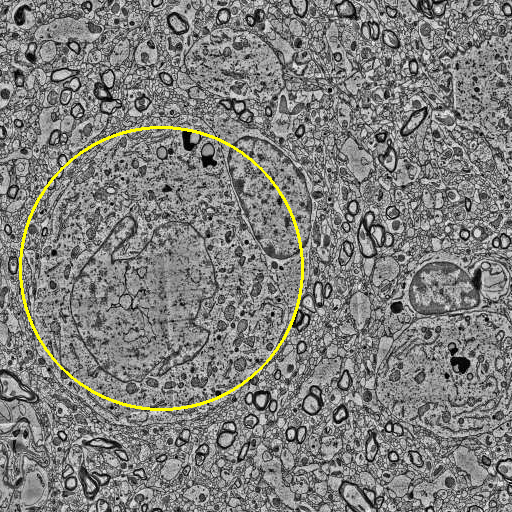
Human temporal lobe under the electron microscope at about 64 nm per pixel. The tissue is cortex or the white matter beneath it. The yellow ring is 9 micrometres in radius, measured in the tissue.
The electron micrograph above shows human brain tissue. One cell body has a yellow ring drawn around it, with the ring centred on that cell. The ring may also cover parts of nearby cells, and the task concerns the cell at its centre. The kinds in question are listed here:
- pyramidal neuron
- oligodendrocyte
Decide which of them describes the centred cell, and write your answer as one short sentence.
The centred cell is a pyramidal neuron.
